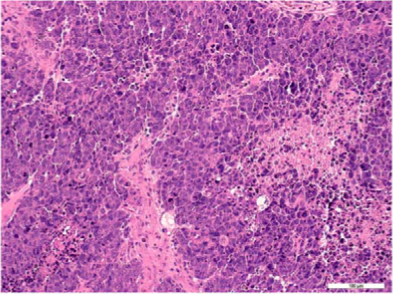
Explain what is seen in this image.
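This is a high-grade tumor made of tumor cells growing in solid sheets rather than in glands. The cells are crowded, with large purple nuclei that vary in size and shape. Bands and patches of bright pink material cut through the sheets, and within them lie scattered small, very dark nuclear fragments. No orderly tubular pattern is to be seen anywhere in the field.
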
